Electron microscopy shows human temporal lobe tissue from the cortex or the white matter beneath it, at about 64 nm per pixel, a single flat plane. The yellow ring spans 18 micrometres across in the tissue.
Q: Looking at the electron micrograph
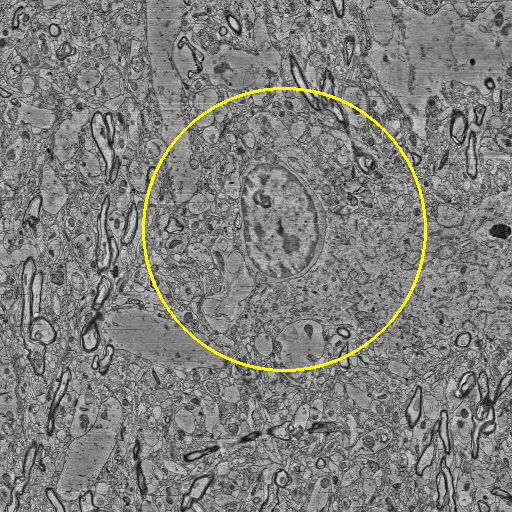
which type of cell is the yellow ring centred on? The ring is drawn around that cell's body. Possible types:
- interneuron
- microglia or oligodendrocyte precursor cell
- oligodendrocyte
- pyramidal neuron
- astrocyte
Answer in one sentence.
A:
The yellow ring is centred on an oligodendrocyte.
